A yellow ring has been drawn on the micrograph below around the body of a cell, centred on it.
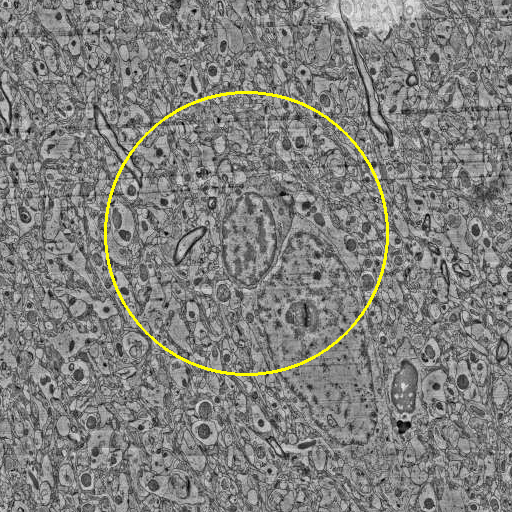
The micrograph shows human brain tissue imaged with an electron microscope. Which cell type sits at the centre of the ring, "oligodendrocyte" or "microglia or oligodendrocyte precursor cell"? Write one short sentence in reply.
The cell sitting at the centre of the ring is an oligodendrocyte.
